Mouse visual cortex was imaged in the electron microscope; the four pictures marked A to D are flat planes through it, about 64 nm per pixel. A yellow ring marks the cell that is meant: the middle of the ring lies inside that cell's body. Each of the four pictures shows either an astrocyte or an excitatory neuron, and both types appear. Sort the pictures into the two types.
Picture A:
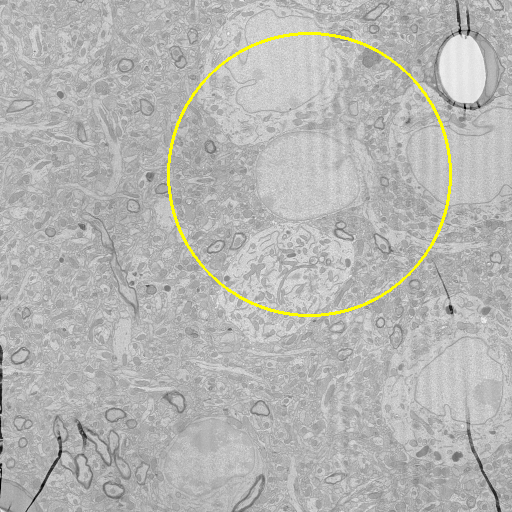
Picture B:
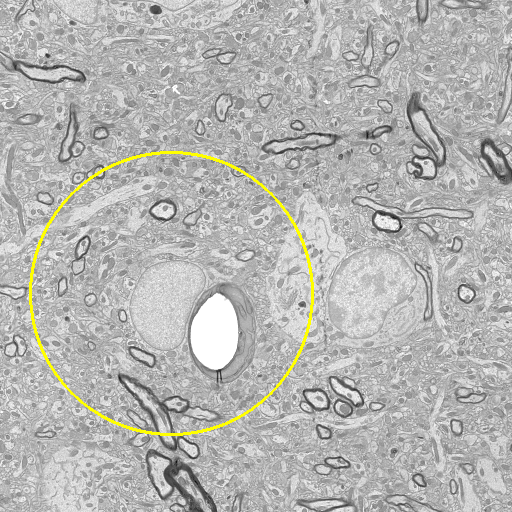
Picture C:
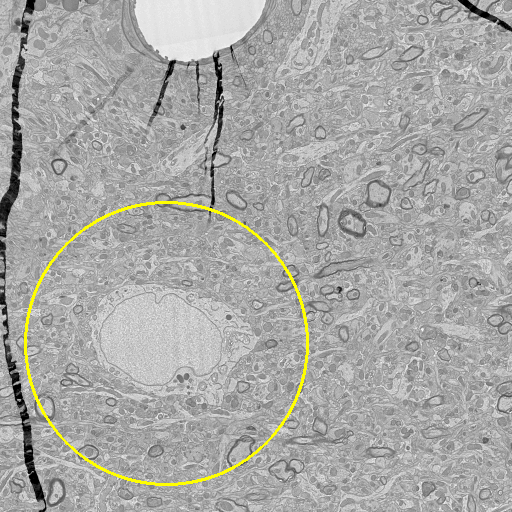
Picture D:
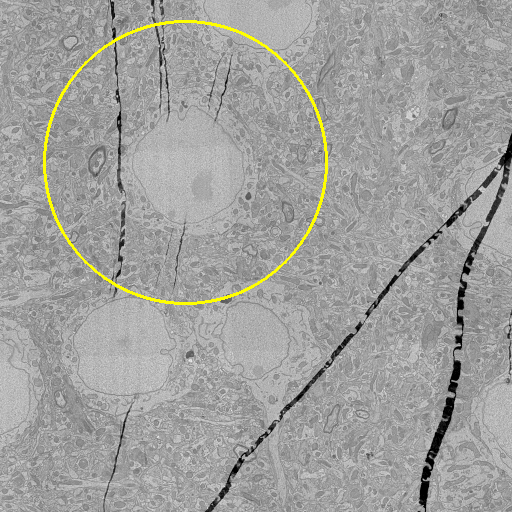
Pictures A and B show astrocytes, and pictures C and D show excitatory neurons.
